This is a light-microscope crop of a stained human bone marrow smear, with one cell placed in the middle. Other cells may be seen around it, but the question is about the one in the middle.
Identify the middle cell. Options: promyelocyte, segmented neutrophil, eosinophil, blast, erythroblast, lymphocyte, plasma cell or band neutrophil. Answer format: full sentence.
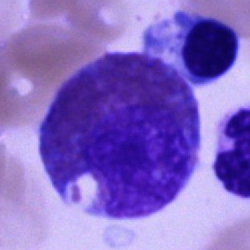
The cell in the middle of this crop is an eosinophil.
